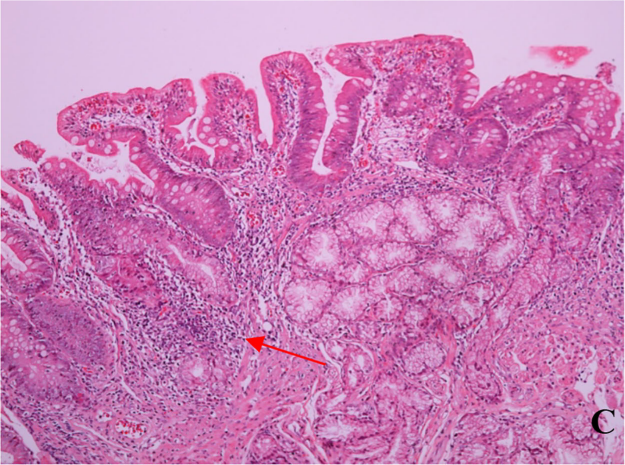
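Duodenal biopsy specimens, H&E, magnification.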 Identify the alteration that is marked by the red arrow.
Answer: Mononuclear Inflammatory infiltrate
